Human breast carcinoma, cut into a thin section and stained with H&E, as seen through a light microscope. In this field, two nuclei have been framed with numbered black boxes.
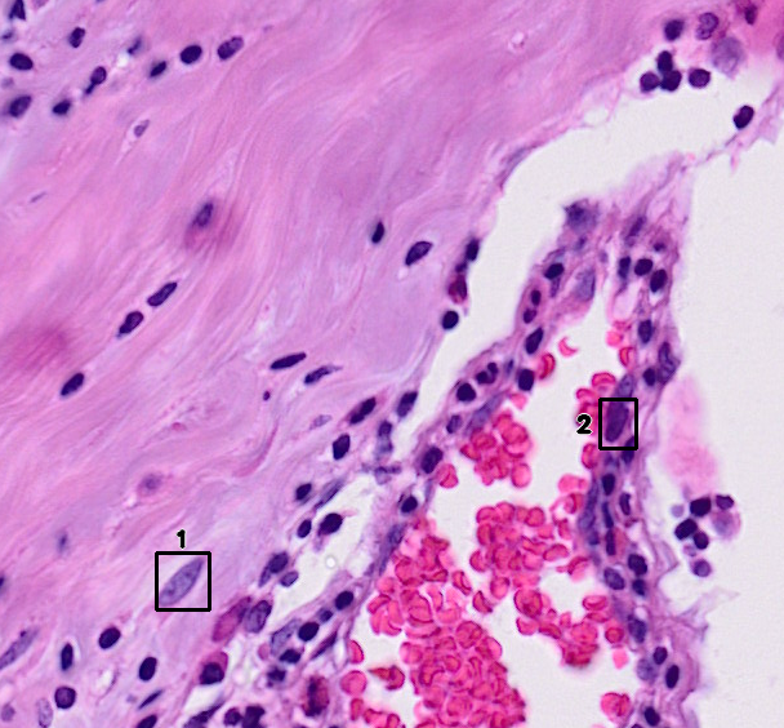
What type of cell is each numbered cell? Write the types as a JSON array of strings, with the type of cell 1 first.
["fibroblast", "endothelial cell"]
